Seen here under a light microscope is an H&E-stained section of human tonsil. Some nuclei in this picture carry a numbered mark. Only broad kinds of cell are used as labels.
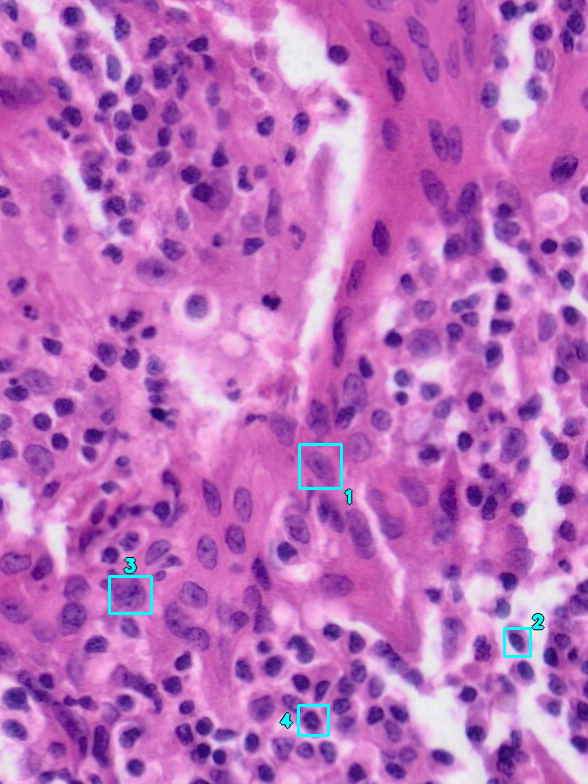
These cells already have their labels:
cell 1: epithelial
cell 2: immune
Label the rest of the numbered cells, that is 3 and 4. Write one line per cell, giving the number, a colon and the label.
3: epithelial
4: immune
